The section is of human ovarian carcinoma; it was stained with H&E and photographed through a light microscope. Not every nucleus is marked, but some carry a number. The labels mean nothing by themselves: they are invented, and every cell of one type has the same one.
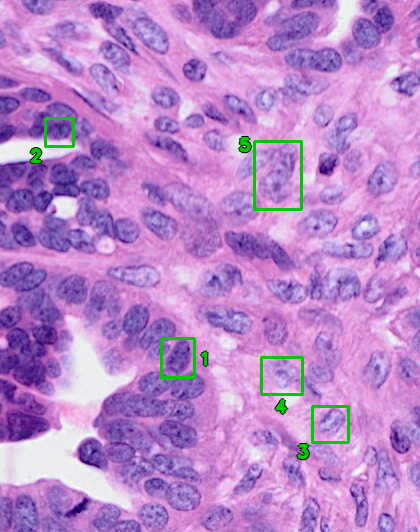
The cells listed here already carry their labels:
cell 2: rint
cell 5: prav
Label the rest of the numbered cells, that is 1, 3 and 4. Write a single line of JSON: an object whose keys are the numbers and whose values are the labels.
{"1": "rint", "3": "prav", "4": "prav"}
